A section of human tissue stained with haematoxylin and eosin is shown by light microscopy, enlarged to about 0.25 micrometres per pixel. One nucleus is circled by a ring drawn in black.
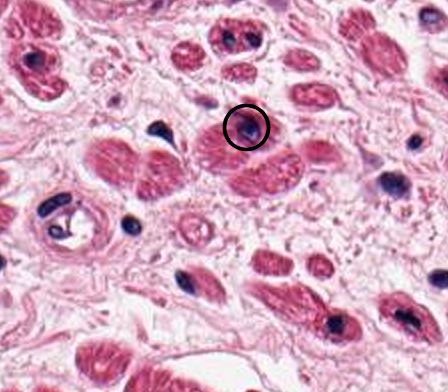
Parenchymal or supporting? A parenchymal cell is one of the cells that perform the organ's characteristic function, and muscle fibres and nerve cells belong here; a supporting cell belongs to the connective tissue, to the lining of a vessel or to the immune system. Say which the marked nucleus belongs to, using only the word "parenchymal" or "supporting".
parenchymal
